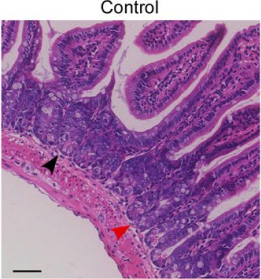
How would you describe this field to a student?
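This section of small intestine shows the mucosa with finger-like villi projecting upward and crypts crowded at their base. The crypts sit just above a band of pink-staining smooth muscle at the bottom left of the field. Loose connective tissue with scattered nuclei fills the cores of the villi. The lumen between villi appears pale and empty.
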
